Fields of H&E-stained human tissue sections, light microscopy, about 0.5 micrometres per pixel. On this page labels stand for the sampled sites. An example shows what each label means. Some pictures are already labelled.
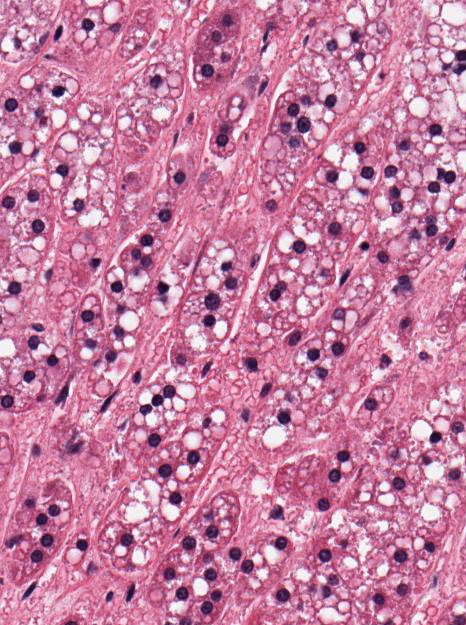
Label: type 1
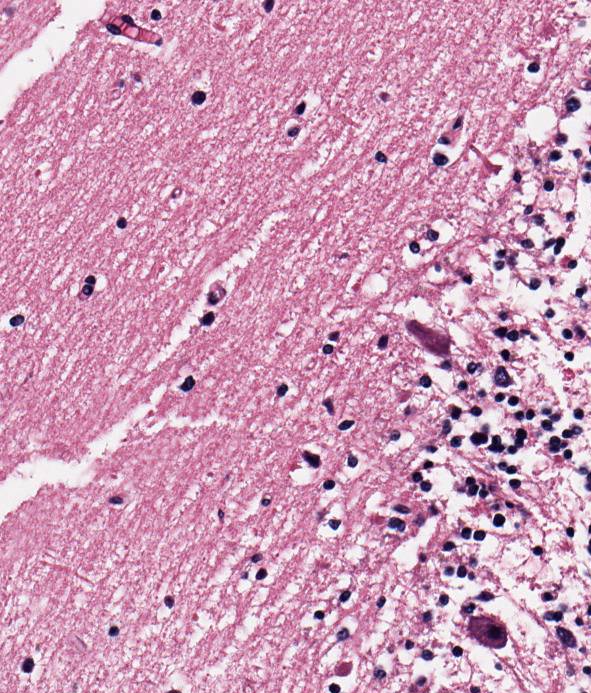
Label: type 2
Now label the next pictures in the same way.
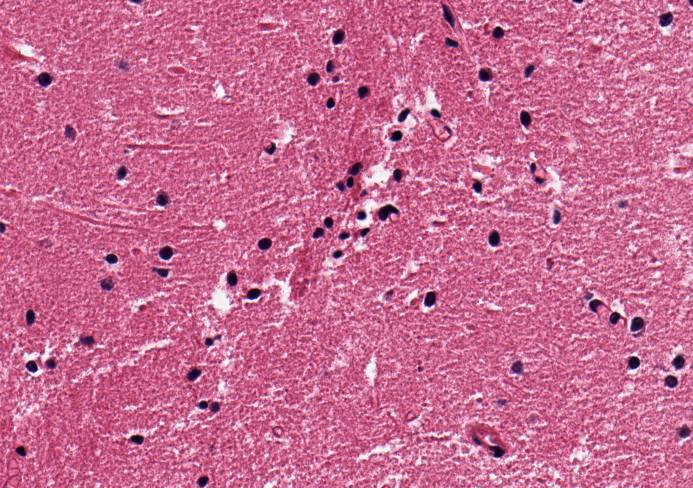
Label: type 2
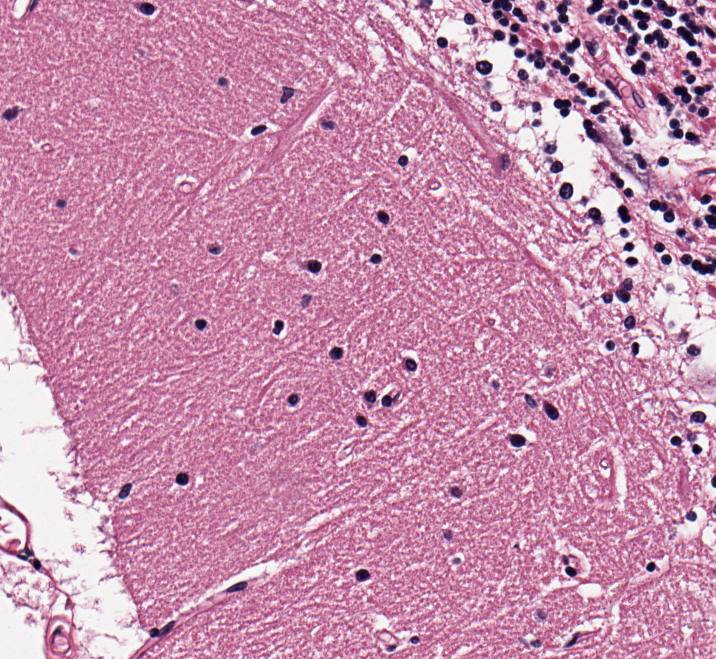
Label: type 2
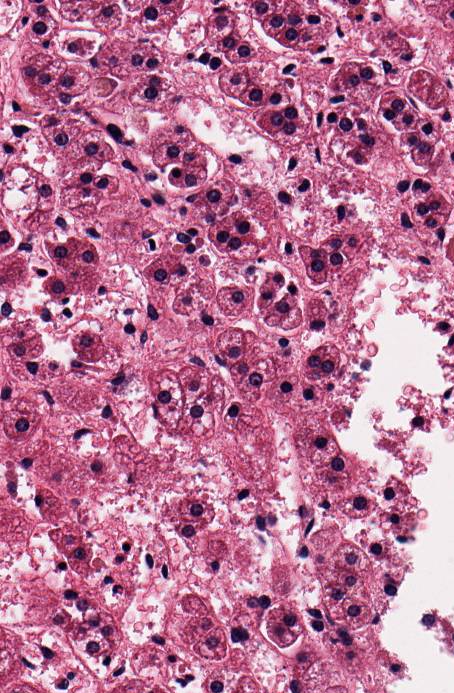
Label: type 1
